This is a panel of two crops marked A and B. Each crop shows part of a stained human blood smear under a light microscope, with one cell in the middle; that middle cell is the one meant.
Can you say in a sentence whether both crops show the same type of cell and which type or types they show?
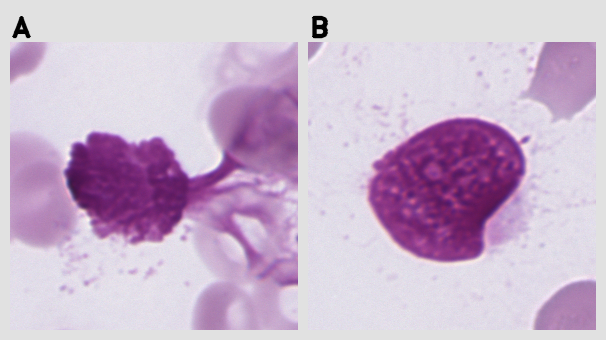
Yes, it is smudge cells that occupy the middle of both crops.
